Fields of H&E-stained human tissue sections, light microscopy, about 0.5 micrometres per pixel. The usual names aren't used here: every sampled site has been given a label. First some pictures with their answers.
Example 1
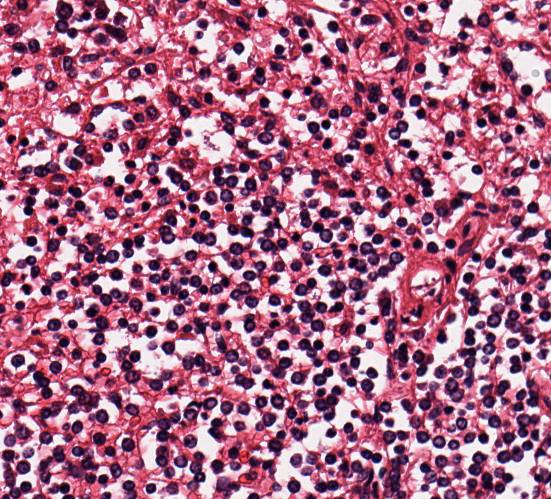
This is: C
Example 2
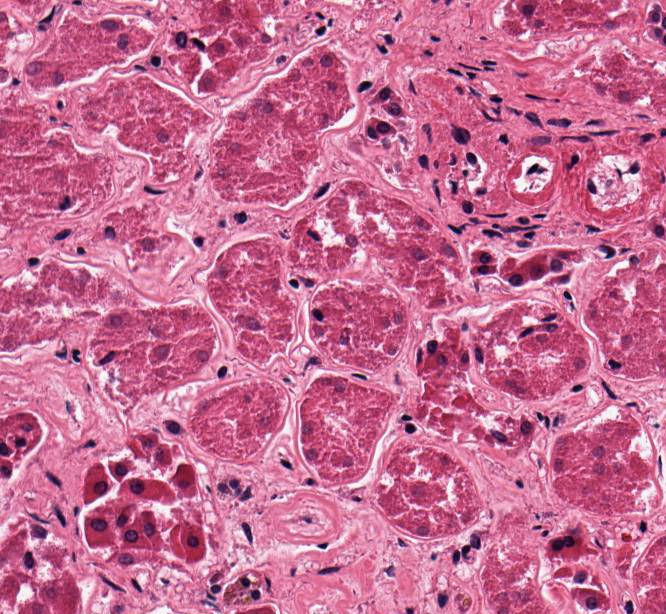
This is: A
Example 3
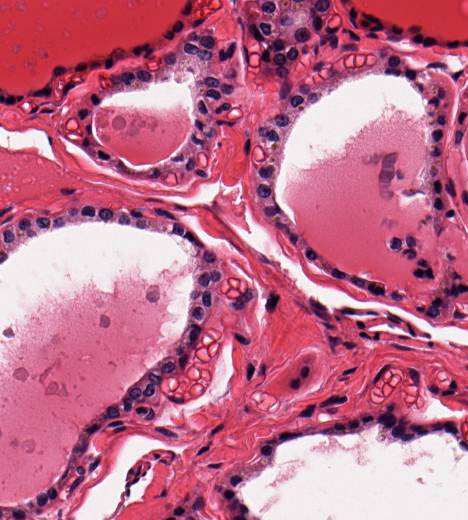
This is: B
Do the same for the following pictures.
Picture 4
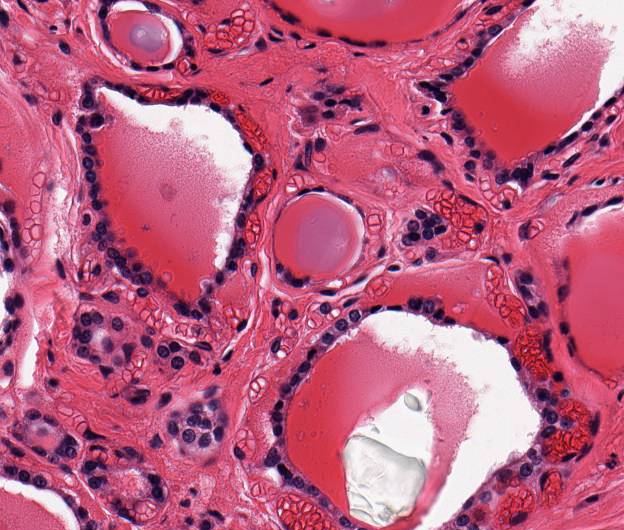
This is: B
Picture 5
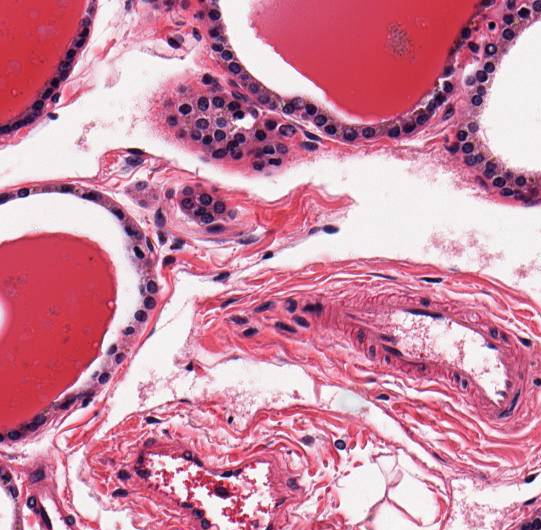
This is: B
